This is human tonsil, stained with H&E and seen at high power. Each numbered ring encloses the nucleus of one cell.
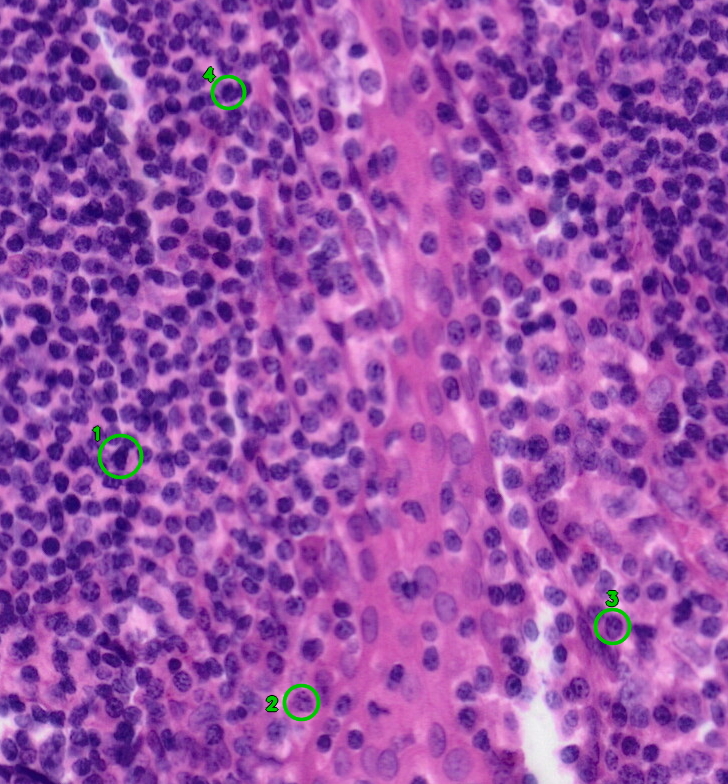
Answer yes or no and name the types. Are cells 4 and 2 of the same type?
No, cell 4 is a small lymphocyte, and cell 2, on the other hand, is a plasma cell.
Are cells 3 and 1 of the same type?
No, cell 3 here is a plasma cell and cell 1 here is a small lymphocyte.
